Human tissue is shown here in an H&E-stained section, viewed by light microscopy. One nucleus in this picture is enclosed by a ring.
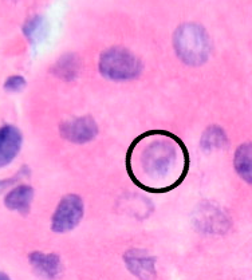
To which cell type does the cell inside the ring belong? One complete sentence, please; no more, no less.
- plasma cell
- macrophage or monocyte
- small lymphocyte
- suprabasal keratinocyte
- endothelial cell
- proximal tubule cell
Cytologically, the cell inside the ring is to be regarded as a proximal tubule cell.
